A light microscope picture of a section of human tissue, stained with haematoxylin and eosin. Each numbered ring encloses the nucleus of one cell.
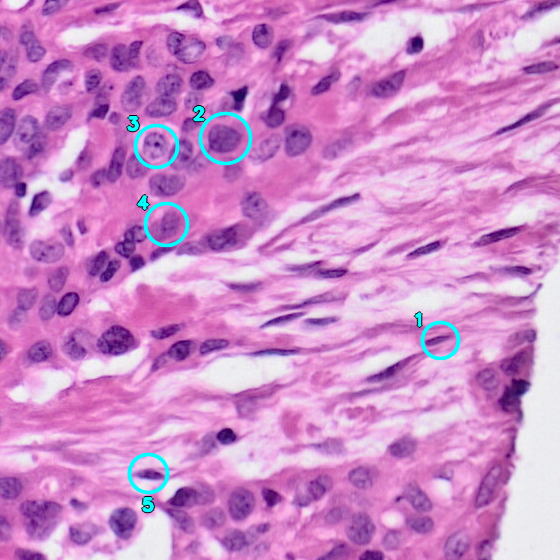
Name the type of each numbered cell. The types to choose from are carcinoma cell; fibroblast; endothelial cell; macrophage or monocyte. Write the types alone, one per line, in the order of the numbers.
fibroblast
carcinoma cell
macrophage or monocyte
carcinoma cell
fibroblast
